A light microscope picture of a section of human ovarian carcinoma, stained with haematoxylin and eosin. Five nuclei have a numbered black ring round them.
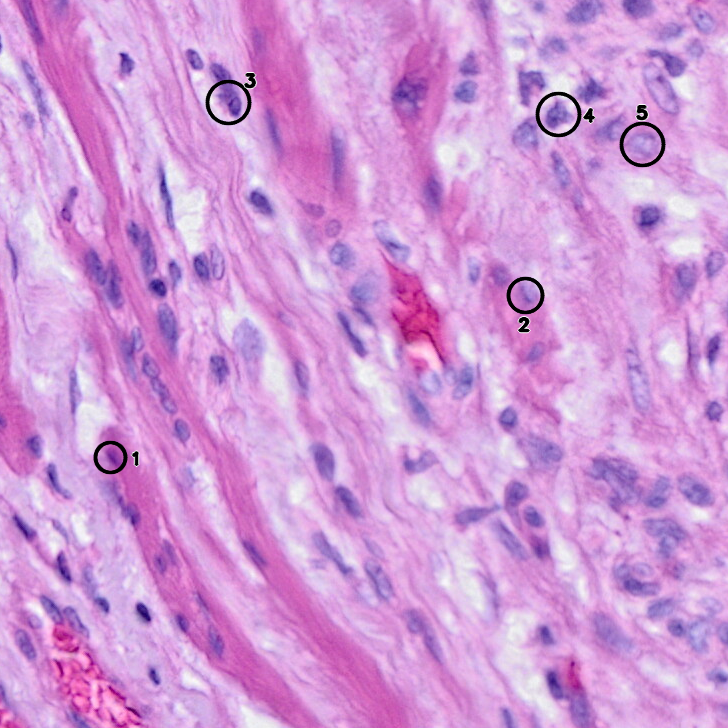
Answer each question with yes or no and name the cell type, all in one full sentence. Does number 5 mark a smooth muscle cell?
No, cell 5 is not a smooth muscle cell. It is a fibroblast.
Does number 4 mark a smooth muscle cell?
No, the cell referred to as 4 is a macrophage or monocyte, not a smooth muscle cell.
